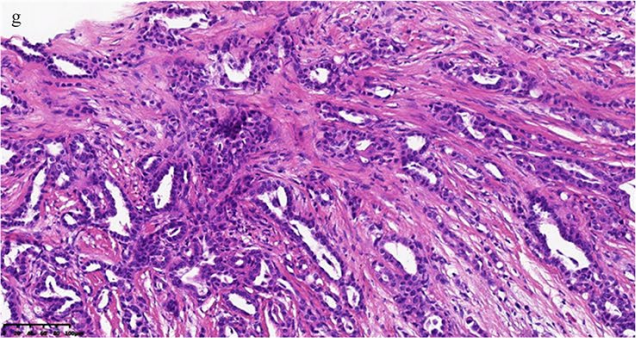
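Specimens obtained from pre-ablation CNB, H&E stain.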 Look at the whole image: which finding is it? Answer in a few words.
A: adenocarcinoma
